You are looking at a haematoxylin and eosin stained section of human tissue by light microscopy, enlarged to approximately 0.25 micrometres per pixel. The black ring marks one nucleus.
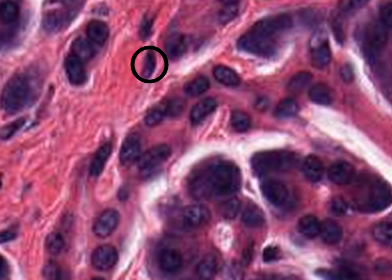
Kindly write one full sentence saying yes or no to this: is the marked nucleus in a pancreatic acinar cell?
No, the marked nucleus, which belongs to a supporting cell, is not part of a pancreatic acinar cell.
